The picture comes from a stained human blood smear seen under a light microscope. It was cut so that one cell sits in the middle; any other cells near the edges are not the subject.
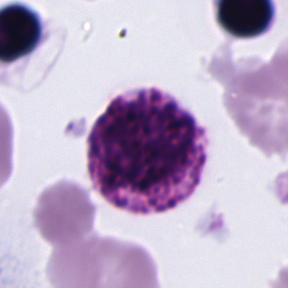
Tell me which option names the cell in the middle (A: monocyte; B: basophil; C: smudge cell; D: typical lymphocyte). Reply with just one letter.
B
